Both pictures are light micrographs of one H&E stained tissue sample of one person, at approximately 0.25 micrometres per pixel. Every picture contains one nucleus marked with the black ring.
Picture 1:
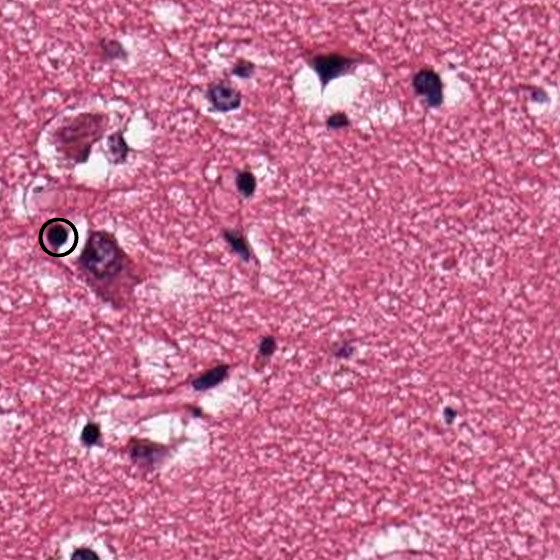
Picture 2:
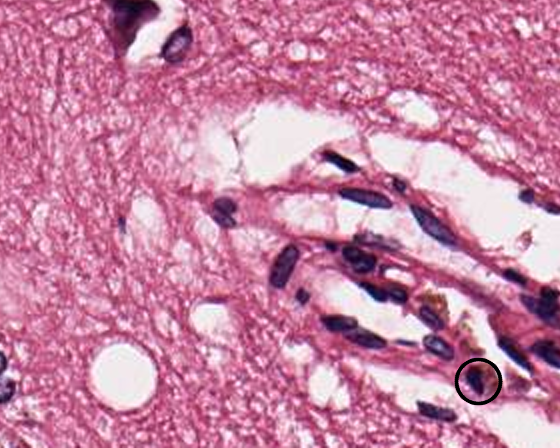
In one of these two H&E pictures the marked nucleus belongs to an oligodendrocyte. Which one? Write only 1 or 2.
1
